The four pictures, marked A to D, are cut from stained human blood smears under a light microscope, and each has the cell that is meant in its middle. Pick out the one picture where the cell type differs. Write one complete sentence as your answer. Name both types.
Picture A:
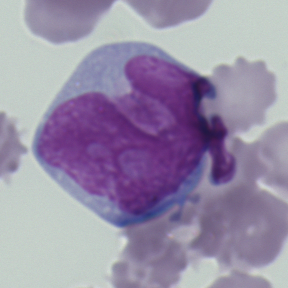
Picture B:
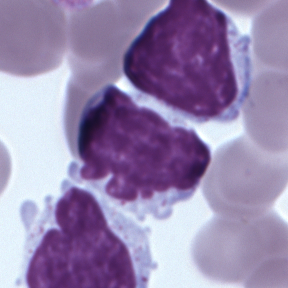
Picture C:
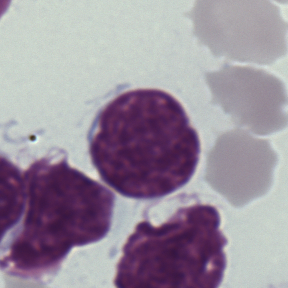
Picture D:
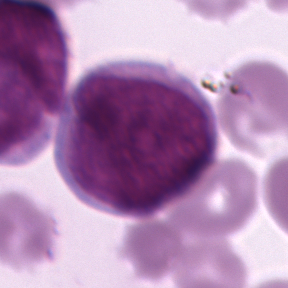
The different one is picture B; it shows a large granular lymphocyte, whereas all the others show myeloblasts.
